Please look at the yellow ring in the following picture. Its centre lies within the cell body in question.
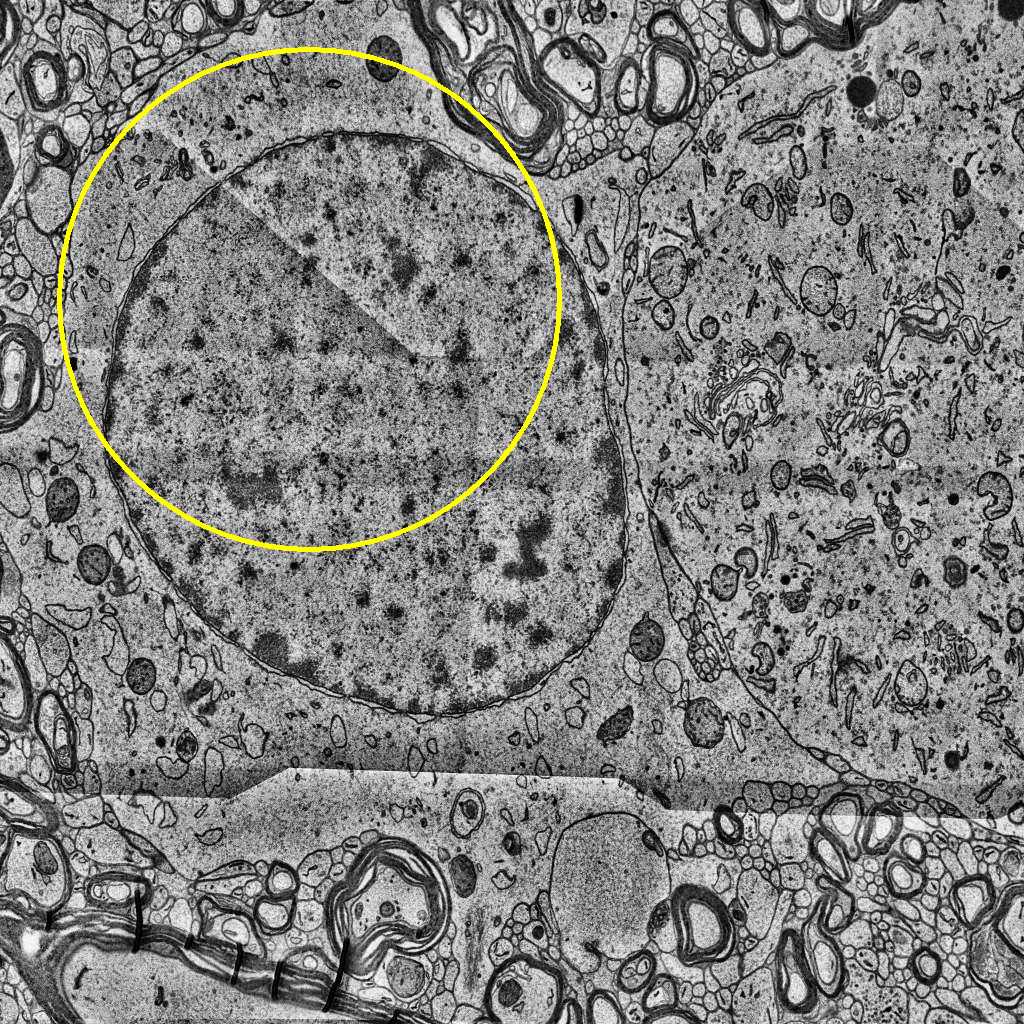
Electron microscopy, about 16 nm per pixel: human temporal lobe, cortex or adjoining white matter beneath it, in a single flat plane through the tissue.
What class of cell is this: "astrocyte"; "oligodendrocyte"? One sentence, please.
The centre of the ring lies in the cell body of an astrocyte.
